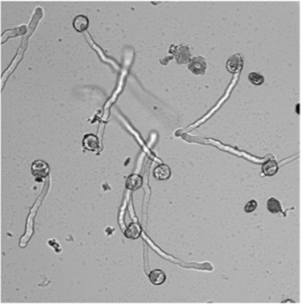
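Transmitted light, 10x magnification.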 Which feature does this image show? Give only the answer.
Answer: Pollen tube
